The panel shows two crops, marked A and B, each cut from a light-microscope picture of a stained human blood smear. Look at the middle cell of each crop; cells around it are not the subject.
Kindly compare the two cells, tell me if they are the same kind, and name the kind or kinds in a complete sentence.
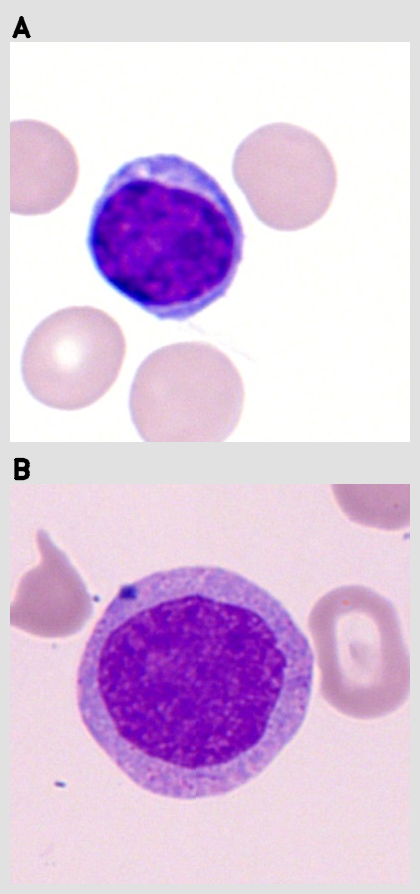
No, a myeloblast is depicted in crop B, whereas a lymphocyte is depicted in crop A.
